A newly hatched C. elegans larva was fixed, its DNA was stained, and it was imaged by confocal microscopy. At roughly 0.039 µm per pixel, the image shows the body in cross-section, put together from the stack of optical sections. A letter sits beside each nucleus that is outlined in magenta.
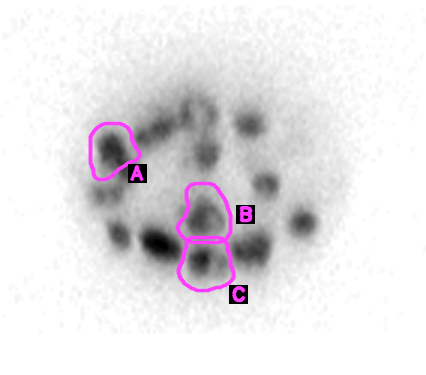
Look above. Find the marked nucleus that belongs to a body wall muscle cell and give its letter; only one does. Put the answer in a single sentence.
The one from a body wall muscle cell is A.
